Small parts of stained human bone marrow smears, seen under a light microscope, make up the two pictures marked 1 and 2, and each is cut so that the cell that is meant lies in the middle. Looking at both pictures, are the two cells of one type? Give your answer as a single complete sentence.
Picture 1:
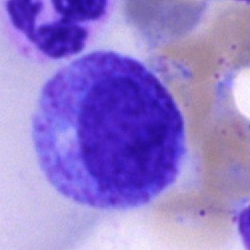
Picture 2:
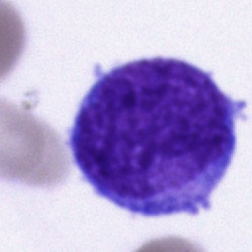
No, they differ: the cell is a promyelocyte in picture 1 and a blast in picture 2.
